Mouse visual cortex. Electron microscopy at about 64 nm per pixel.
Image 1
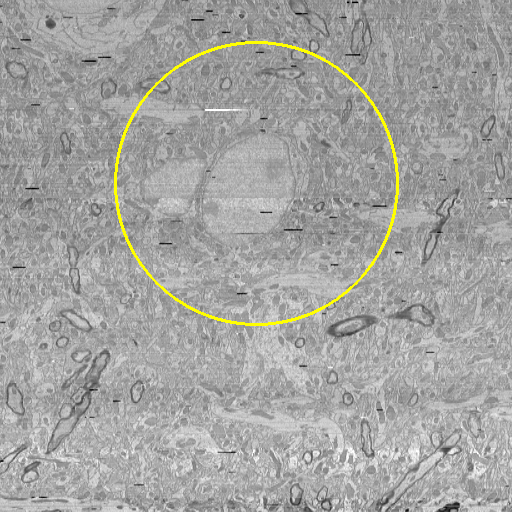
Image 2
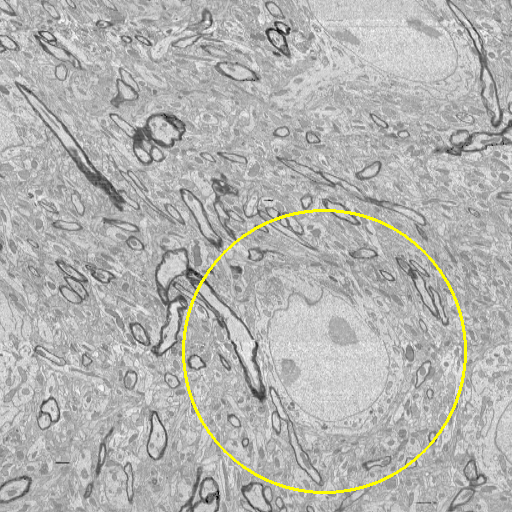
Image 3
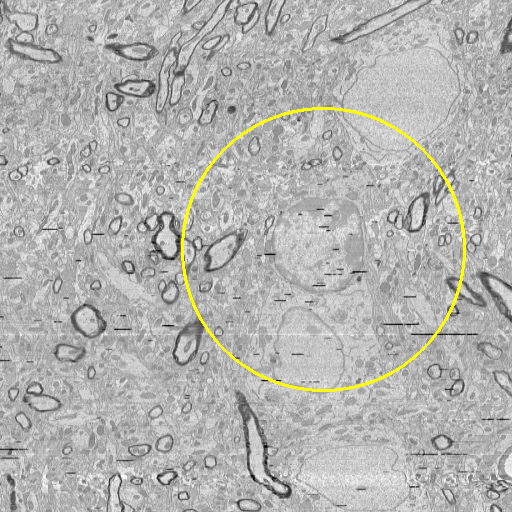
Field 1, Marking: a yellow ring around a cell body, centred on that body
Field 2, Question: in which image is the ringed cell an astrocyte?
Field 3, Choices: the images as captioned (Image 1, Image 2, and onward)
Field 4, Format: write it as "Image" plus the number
Image 1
